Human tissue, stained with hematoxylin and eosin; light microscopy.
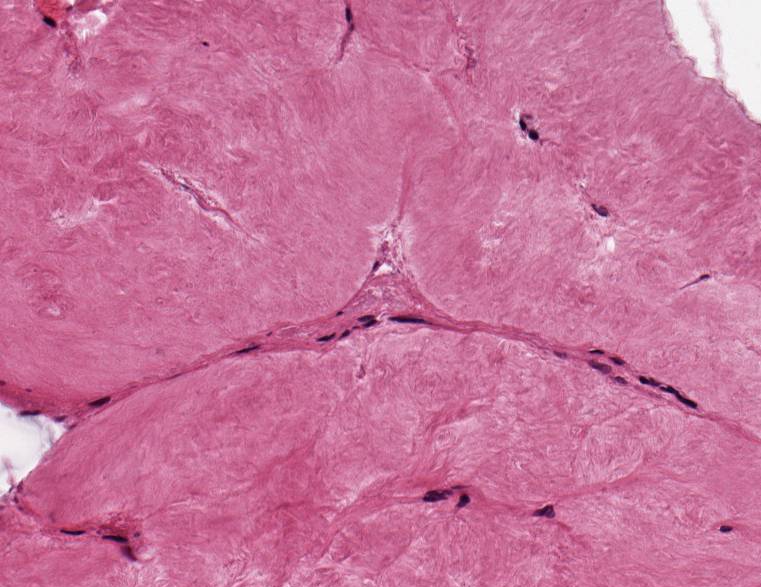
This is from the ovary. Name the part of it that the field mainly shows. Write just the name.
corpus albicans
